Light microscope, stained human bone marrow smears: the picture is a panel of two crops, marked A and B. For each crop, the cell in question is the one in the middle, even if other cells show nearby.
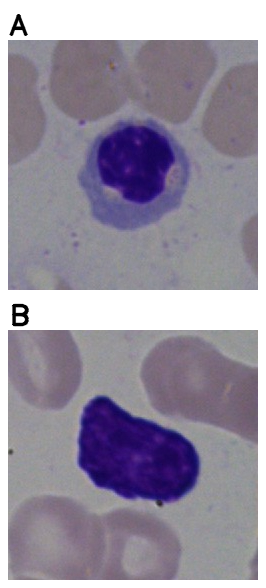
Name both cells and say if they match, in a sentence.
No, crop A has an erythroblast in the middle, and crop B has a blast.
